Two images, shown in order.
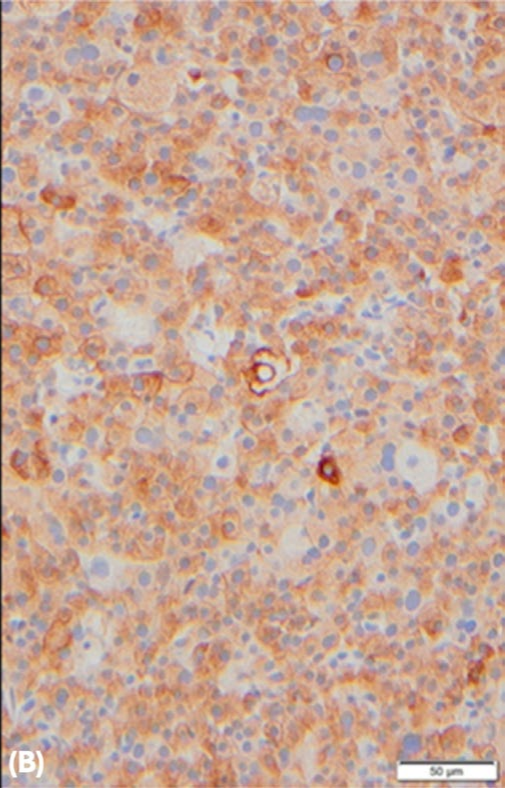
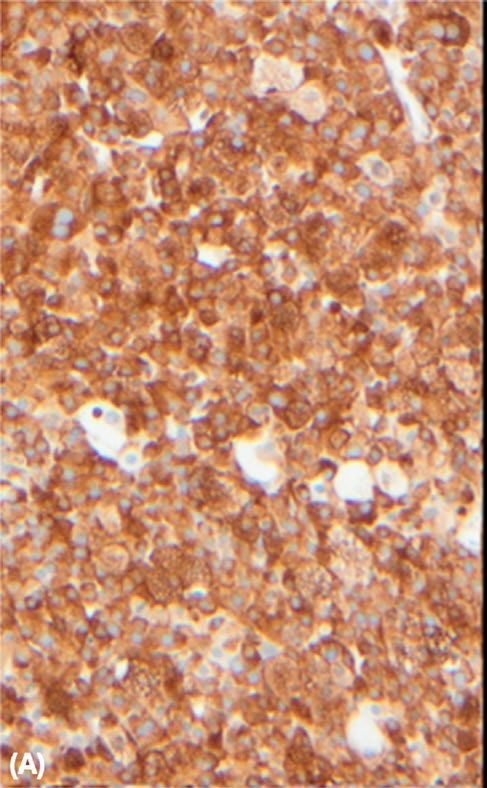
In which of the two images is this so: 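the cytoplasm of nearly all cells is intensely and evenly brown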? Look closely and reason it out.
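The second image. First image: cytoplasm is mostly pale to moderate brown, with only a few scattered cells dark brown. Second image: dark brown fills the cytoplasm of almost every cell across the field.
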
